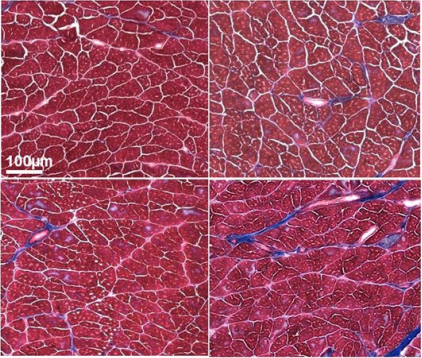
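Skeletal muscle in cross section, shown as four adjoining fields. Polygonal muscle fibers of varying size are packed closely and stain red to magenta, with a finely stippled interior. Narrow pale or white clefts outline the individual fibers. Between fibers and along boundaries between groups of fibers run strands of blue-stained connective tissue. In the upper left field the blue material is scant, while in the other fields, especially the lower ones, the blue strands are more numerous and thicker, forming bands that cross between fiber groups.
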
